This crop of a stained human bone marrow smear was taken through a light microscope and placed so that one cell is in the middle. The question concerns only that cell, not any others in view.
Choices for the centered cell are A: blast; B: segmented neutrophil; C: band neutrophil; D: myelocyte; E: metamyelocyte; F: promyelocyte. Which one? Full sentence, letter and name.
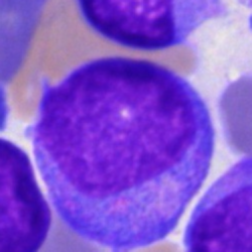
The correct option, A, names the middle cell as a blast.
